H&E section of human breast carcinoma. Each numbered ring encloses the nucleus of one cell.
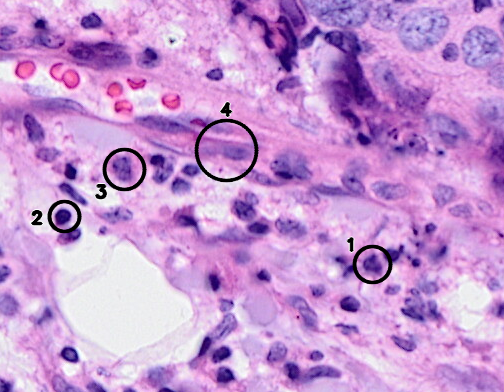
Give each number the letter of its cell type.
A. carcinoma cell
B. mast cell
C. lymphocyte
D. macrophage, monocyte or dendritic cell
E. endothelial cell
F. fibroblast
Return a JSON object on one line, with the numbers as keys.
{"1": "C", "2": "C", "3": "B", "4": "E"}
